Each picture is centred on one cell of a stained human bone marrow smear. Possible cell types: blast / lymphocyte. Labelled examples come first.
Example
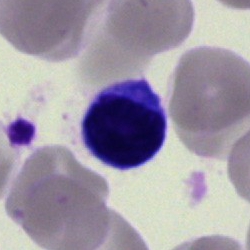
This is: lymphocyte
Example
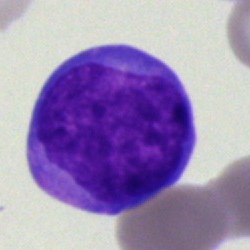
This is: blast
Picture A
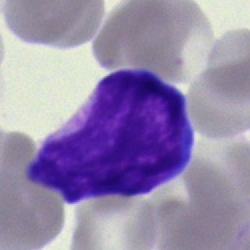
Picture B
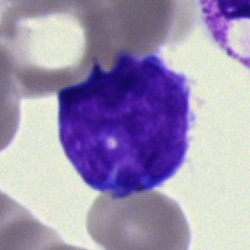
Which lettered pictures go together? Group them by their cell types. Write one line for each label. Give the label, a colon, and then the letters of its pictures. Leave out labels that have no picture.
blast: A, B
